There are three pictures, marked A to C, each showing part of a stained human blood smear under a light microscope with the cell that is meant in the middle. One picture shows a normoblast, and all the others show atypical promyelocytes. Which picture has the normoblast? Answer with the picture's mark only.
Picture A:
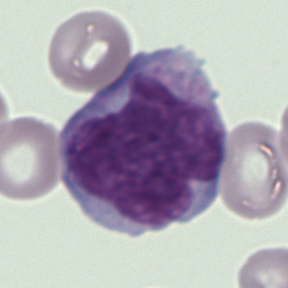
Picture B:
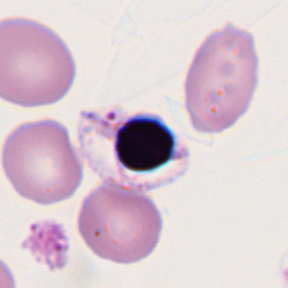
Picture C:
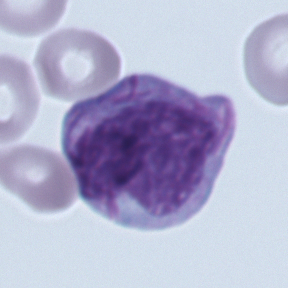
B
